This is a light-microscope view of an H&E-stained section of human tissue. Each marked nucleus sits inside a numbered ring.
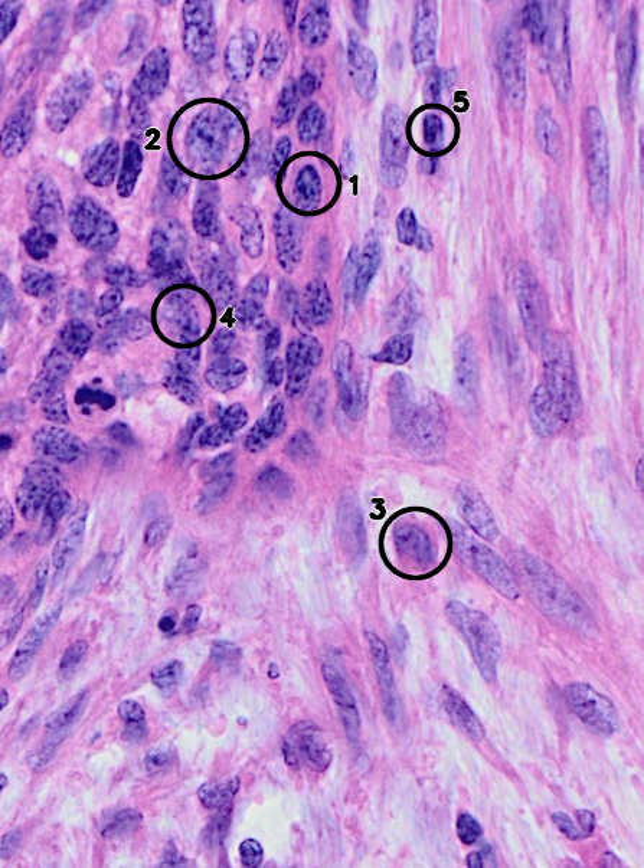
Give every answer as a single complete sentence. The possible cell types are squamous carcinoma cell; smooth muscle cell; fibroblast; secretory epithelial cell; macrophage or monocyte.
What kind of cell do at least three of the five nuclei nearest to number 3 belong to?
Of the five nuclei nearest to number 3, most belong to fibroblasts.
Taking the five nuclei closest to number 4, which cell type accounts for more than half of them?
The majority of the five nuclei closest to number 4 belong to squamous carcinoma cells.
